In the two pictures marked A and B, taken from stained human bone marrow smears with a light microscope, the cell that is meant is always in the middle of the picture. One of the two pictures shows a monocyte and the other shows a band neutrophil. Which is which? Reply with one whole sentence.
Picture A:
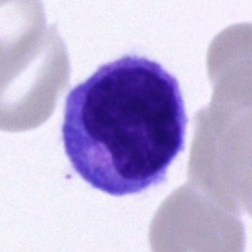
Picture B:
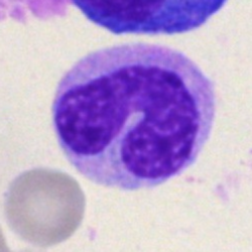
Picture A shows a monocyte and picture B shows a band neutrophil.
